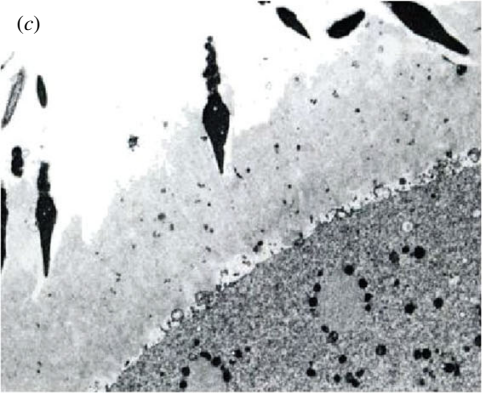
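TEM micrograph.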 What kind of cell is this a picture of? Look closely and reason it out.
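Several dense black spindle-shaped heads lie embedded in a pale layer. The heads point at different angles toward a granular cytoplasm at lower right.
Conclusion: sperm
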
